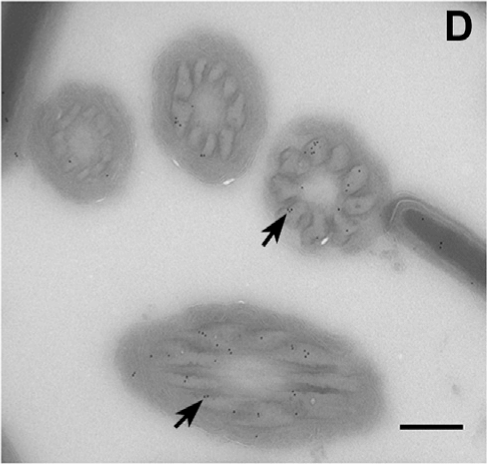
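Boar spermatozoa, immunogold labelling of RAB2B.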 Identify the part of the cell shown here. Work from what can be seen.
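Cross sections of the sperm tail. Several round to oval profiles with a radial ring of dense fibres around a central axis. An elongated dense profile cut lengthwise lies at the right edge.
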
